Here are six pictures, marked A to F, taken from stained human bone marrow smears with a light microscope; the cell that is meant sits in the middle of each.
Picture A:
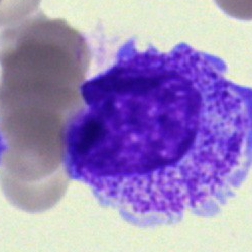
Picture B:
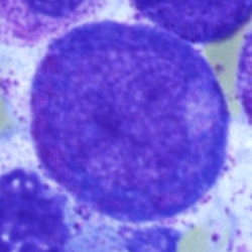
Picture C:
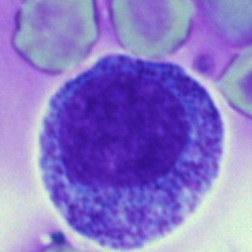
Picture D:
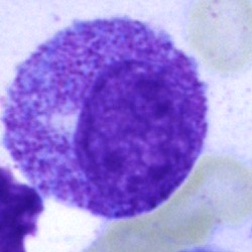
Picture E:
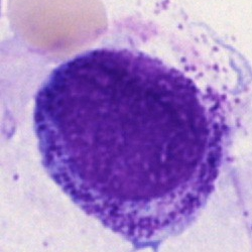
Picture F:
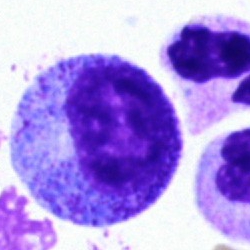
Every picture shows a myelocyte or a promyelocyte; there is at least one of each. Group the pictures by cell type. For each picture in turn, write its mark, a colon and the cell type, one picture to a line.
A: myelocyte
B: promyelocyte
C: promyelocyte
D: myelocyte
E: promyelocyte
F: promyelocyte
